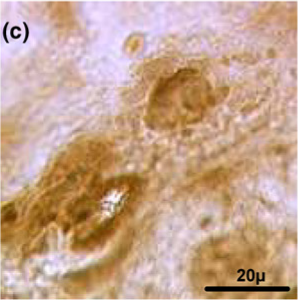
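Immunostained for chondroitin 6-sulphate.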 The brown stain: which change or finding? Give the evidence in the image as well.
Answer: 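Pericellular pattern. Brown stain concentrates around the cell lacunae. The matrix between cells is paler.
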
